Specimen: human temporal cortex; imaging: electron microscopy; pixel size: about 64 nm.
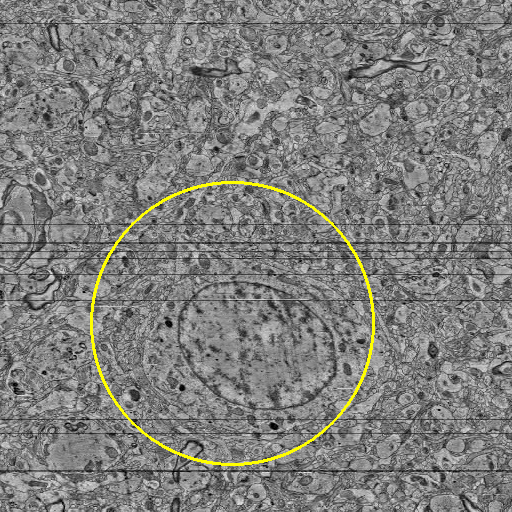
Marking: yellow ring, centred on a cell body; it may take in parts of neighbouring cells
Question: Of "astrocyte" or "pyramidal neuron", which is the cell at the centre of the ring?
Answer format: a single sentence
The ring surrounds the body of a pyramidal neuron.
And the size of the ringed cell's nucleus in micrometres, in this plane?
The nucleus has a long axis of about 11 micrometres and a short axis of about 8 micrometres in this plane.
